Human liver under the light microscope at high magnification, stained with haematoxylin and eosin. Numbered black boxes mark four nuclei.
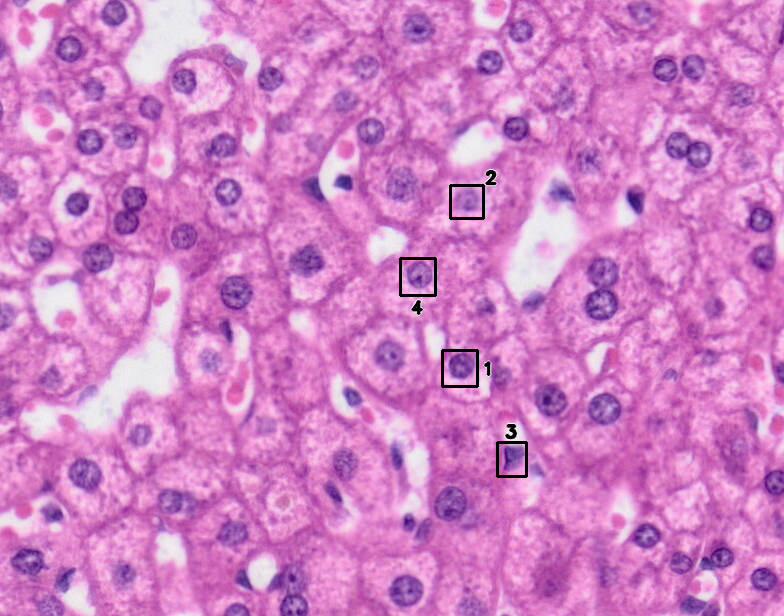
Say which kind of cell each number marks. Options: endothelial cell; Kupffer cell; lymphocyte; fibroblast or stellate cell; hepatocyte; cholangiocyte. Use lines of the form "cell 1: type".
cell 1: hepatocyte
cell 2: hepatocyte
cell 3: endothelial cell
cell 4: hepatocyte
